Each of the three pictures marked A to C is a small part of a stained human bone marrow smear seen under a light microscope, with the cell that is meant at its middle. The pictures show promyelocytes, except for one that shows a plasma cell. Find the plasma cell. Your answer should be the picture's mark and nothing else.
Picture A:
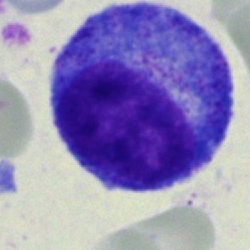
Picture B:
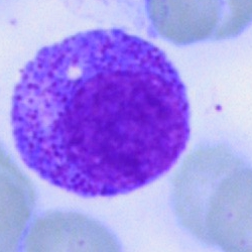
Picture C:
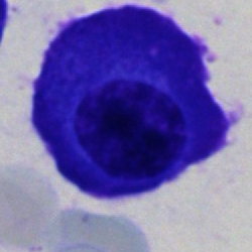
C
